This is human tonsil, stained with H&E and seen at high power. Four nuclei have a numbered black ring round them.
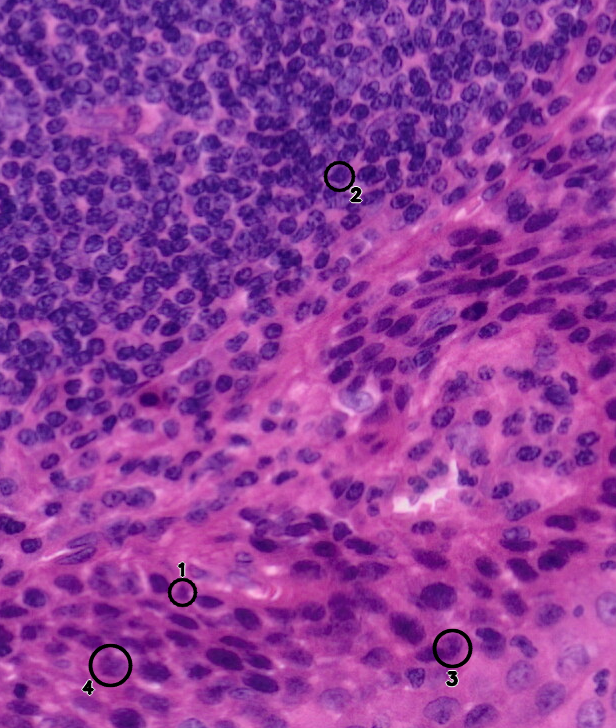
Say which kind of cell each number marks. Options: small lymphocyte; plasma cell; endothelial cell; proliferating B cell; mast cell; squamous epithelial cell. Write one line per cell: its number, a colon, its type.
1: squamous epithelial cell
2: small lymphocyte
3: squamous epithelial cell
4: squamous epithelial cell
